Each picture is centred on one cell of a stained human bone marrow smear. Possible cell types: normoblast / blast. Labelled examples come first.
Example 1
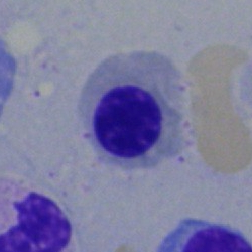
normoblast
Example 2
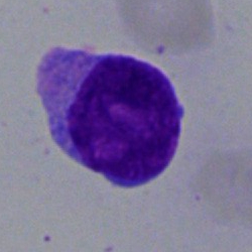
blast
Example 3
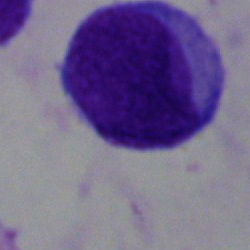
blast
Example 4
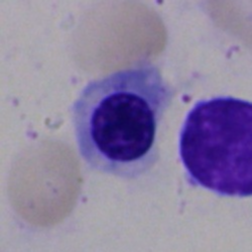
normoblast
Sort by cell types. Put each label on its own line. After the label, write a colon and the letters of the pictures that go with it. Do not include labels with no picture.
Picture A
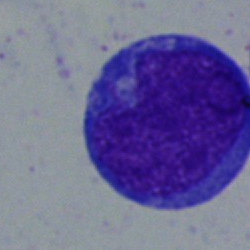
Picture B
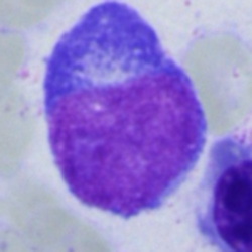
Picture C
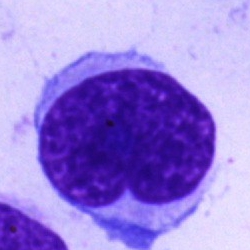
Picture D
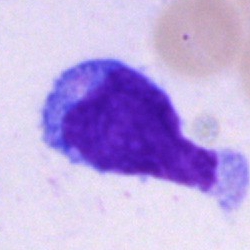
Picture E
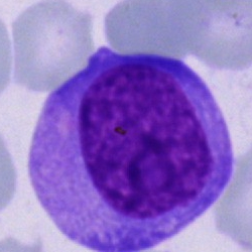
blast: A, B, C, D, E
